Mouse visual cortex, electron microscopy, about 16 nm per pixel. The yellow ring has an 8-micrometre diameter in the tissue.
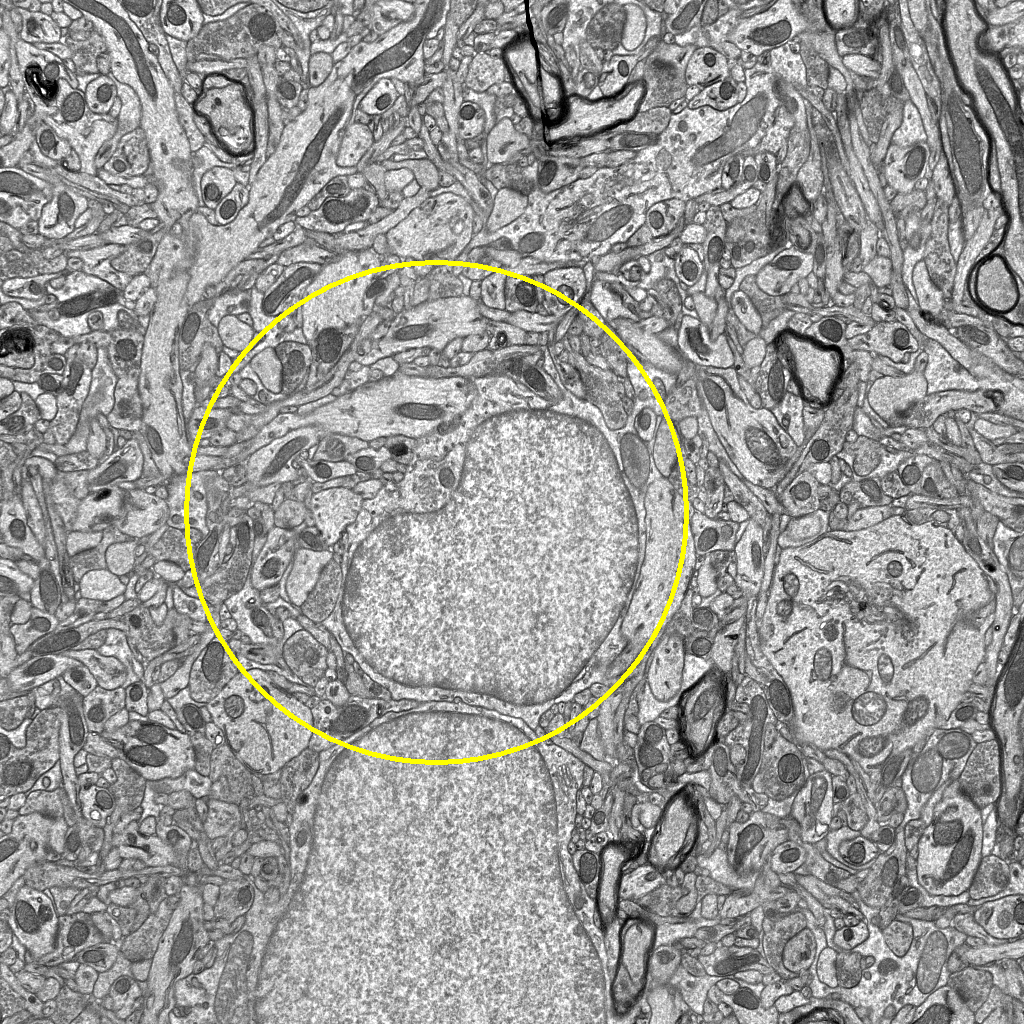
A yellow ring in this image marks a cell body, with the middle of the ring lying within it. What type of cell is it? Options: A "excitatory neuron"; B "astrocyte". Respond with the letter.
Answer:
B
